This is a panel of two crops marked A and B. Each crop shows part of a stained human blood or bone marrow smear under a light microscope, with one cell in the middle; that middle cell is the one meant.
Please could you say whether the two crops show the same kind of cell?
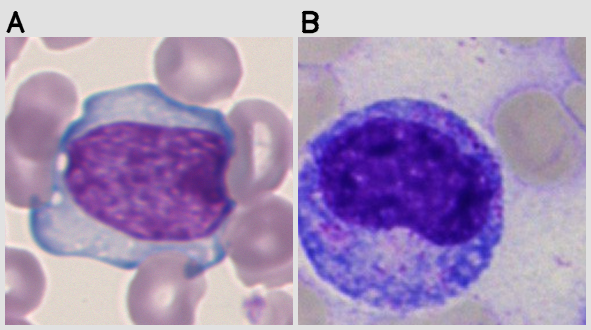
no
